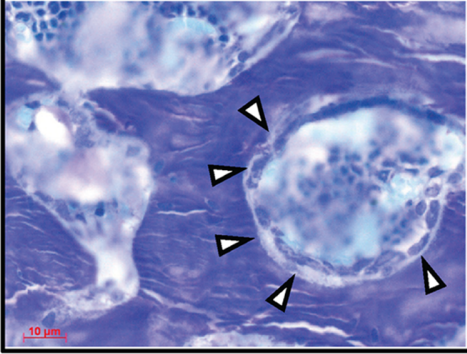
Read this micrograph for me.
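This is bone with marrow spaces, stained in shades of blue: the purple-blue matrix of bone surrounds rounded pockets filled with small round marrow cells. Around one pocket a single row of cuboidal osteoblasts lines the bone surface, resting on a pale band of osteoid between them and the darker matrix.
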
